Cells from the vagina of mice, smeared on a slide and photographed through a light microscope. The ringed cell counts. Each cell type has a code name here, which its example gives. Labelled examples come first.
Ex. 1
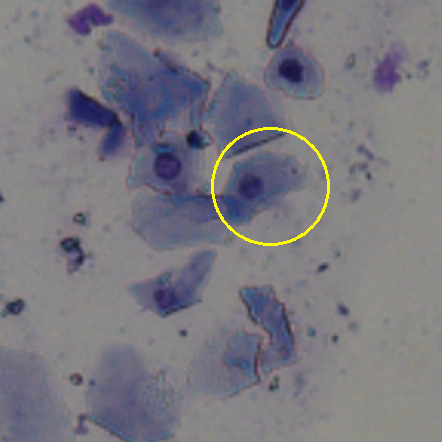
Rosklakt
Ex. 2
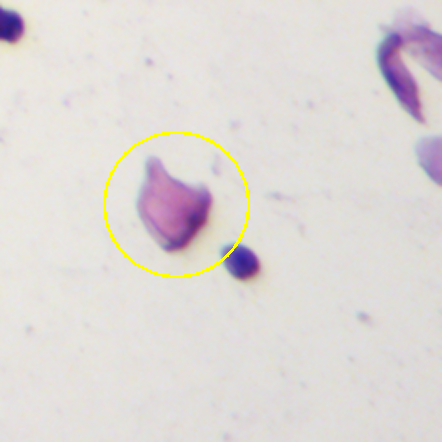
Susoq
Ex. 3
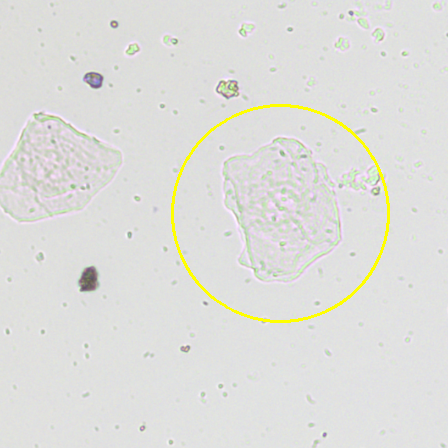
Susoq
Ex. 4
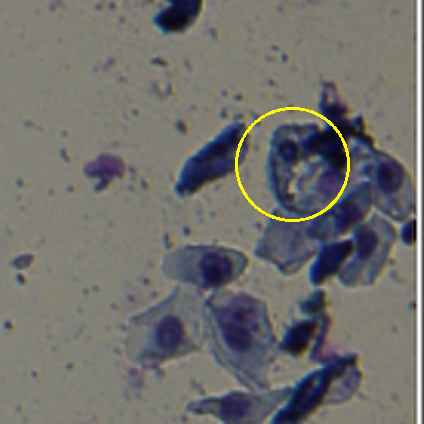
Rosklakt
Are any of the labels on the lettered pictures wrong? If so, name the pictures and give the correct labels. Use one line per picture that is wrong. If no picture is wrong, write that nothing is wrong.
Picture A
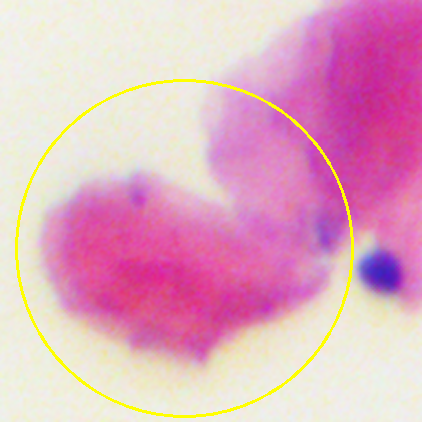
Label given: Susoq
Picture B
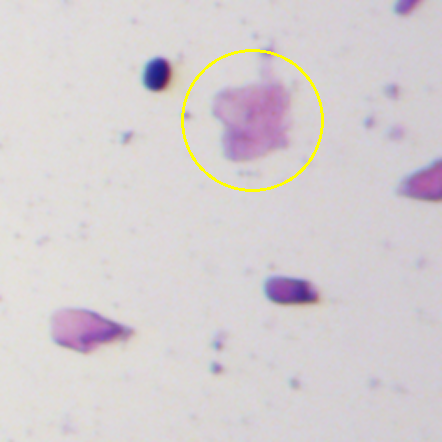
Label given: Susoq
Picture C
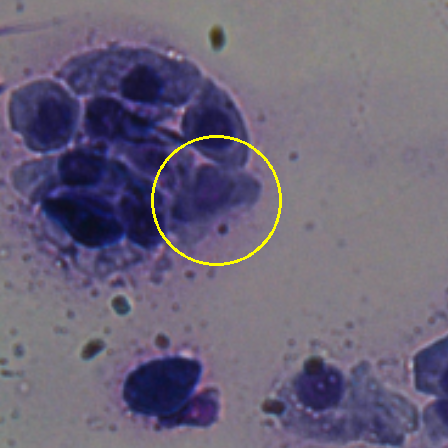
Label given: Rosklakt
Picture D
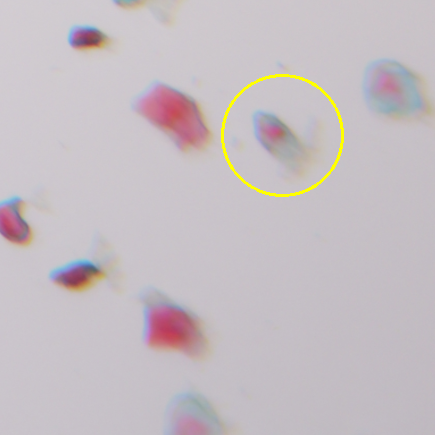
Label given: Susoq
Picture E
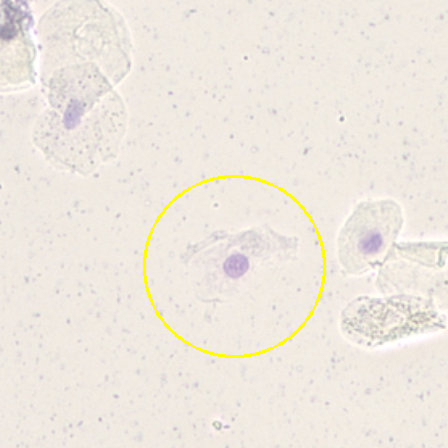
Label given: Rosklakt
D: change Susoq to Rosklakt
